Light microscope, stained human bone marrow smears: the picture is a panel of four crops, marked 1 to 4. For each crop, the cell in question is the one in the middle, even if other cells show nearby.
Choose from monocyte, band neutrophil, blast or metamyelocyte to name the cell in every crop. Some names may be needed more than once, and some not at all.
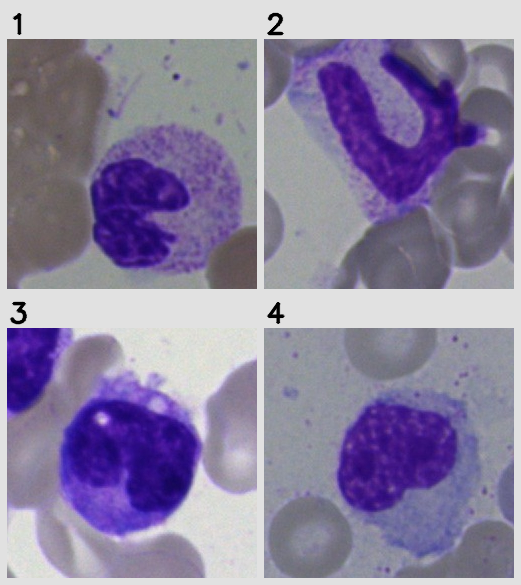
1: band neutrophil
2: band neutrophil
3: monocyte
4: monocyte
